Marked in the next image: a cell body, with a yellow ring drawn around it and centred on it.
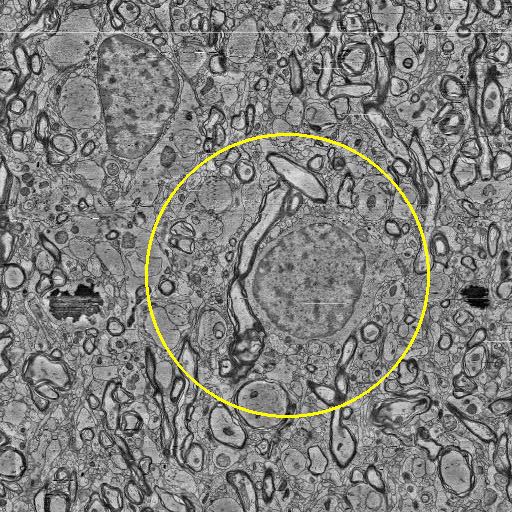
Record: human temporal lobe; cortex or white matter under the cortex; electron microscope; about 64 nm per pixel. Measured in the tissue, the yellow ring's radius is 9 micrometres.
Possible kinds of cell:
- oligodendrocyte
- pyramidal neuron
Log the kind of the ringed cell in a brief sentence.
The ringed cell body is that of an oligodendrocyte.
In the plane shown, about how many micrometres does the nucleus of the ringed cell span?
In this plane the ringed cell's nucleus is roughly 8 micrometres across.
